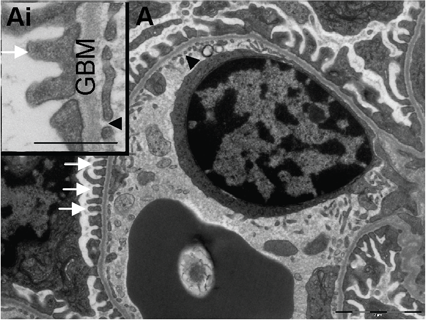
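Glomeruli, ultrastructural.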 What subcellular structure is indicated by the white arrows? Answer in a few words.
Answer: intact foot processes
